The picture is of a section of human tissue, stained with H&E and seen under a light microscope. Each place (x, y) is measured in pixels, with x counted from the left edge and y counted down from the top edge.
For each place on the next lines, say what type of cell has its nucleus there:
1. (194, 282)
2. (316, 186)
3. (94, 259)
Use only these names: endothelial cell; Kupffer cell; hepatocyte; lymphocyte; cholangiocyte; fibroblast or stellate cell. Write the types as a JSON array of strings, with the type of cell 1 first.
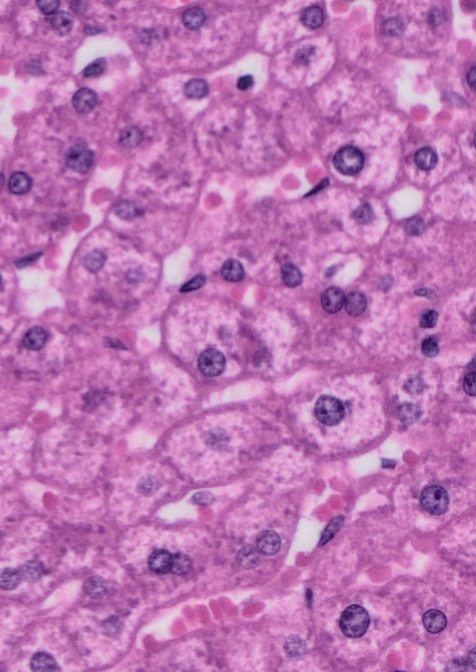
["fibroblast or stellate cell", "endothelial cell", "hepatocyte"]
